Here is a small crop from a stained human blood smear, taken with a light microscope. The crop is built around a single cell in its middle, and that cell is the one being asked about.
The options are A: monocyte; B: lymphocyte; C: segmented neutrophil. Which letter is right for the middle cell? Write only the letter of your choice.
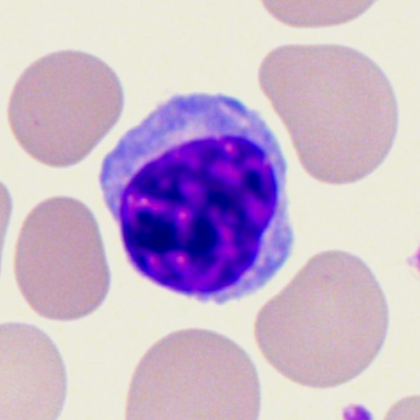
B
